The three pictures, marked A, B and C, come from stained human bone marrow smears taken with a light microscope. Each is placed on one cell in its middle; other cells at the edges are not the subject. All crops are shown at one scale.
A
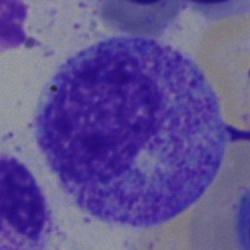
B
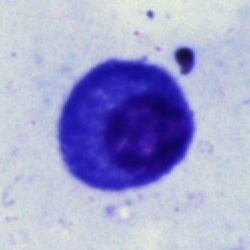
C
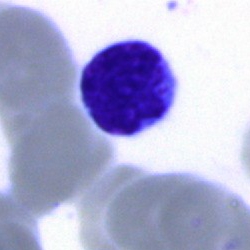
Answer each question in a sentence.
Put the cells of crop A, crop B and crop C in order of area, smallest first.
Smallest first: C, B, A.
